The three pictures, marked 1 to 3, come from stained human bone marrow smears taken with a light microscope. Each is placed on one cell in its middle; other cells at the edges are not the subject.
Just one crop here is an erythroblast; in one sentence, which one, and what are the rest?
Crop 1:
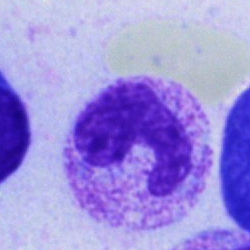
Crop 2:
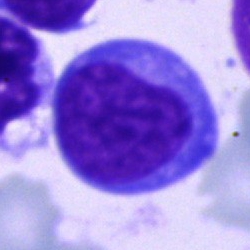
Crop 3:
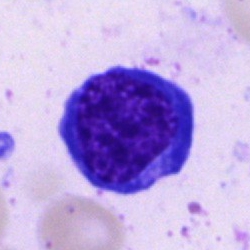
The cell shown in crop 3 is an erythroblast, whereas crop 1 is a band neutrophil and crop 2 is a blast.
